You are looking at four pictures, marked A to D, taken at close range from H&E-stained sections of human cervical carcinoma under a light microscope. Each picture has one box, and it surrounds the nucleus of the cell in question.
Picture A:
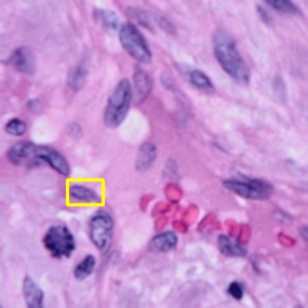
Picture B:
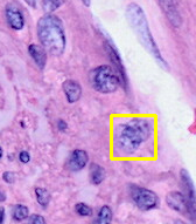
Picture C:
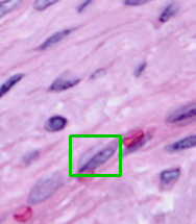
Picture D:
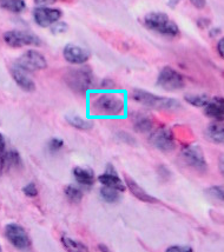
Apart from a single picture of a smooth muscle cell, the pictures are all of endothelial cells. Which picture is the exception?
B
